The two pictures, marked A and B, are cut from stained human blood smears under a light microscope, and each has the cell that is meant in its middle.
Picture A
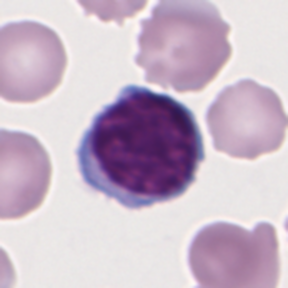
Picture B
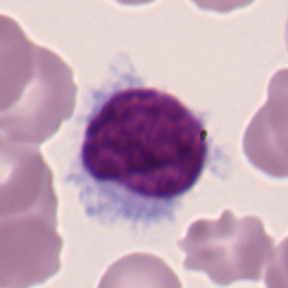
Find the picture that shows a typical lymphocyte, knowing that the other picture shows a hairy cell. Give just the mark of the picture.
A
